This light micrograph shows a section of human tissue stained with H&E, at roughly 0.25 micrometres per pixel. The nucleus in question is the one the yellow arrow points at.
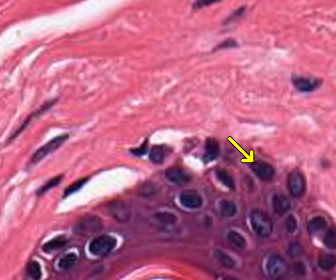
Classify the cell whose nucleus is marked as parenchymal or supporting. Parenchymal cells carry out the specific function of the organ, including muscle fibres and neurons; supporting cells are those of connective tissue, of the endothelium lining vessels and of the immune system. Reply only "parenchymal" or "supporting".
parenchymal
